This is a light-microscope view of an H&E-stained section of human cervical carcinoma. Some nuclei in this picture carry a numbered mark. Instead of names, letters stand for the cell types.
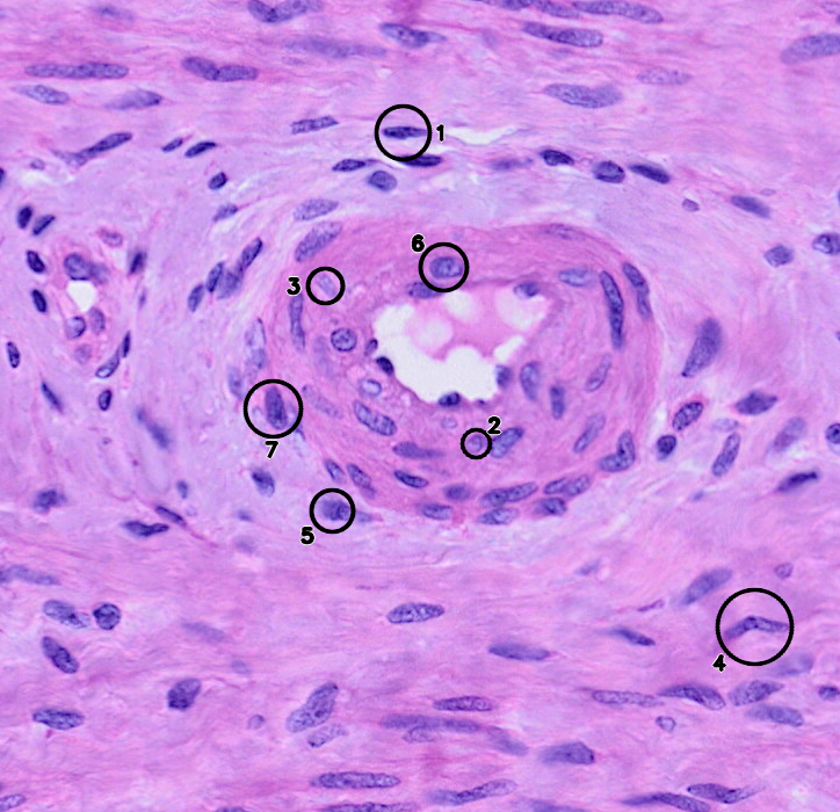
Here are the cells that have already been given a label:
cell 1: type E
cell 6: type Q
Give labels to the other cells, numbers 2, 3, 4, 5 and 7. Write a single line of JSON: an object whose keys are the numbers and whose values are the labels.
{"2": "type Q", "3": "type Q", "4": "type E", "5": "type E", "7": "type Q"}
